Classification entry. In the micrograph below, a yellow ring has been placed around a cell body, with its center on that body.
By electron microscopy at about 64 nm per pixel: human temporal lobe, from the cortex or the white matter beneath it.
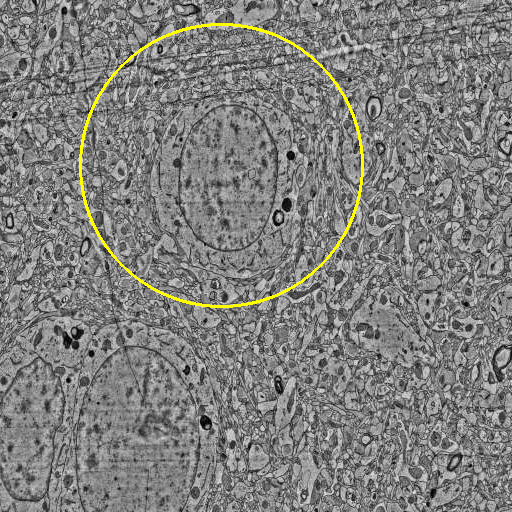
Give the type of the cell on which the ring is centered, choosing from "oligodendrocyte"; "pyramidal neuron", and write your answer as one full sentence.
The cell body at the center of the yellow ring belongs to a pyramidal neuron.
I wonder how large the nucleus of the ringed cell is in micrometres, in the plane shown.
About 9 by 6 micrometres in this plane.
